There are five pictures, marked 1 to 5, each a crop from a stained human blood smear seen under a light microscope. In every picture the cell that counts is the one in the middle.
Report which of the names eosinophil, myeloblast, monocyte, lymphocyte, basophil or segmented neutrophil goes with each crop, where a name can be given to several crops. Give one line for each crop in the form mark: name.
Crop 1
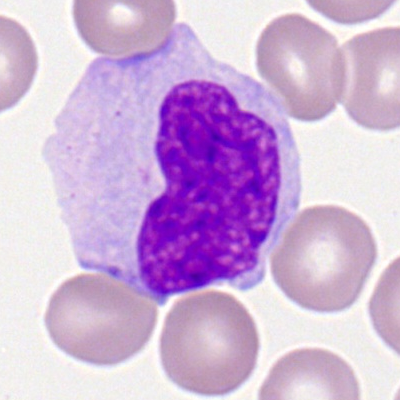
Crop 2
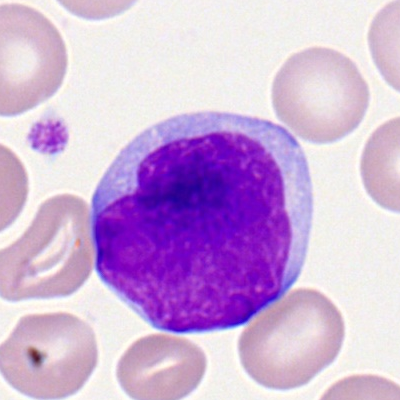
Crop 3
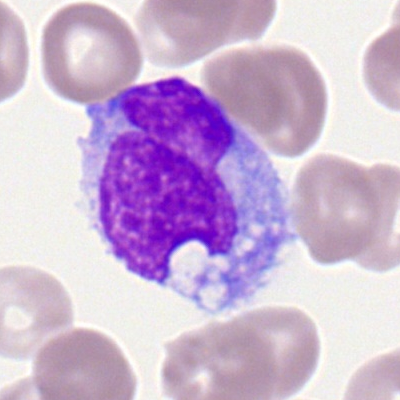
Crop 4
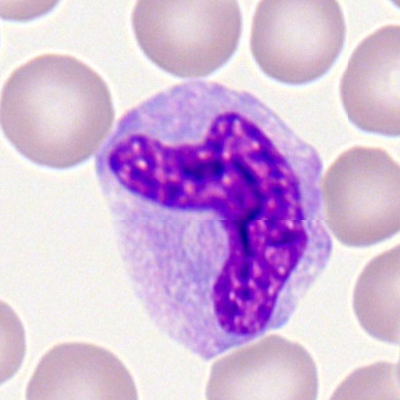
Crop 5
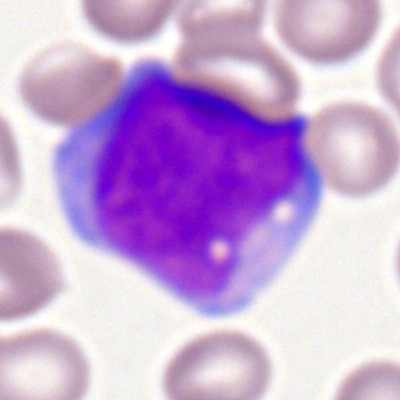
1: monocyte
2: myeloblast
3: monocyte
4: monocyte
5: myeloblast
